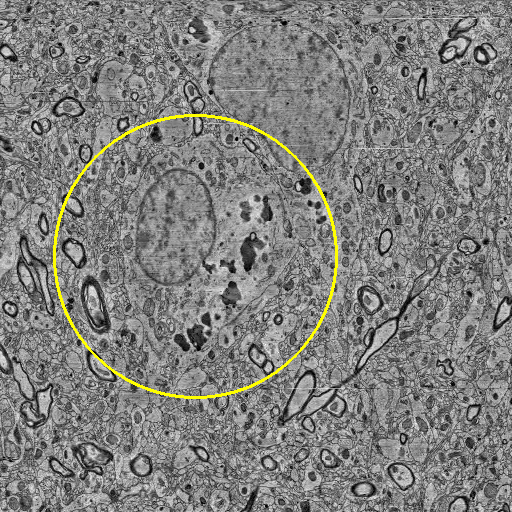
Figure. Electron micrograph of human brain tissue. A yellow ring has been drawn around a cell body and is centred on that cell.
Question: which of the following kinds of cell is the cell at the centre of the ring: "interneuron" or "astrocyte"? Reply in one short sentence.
The cell at the centre of the ring is an interneuron.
